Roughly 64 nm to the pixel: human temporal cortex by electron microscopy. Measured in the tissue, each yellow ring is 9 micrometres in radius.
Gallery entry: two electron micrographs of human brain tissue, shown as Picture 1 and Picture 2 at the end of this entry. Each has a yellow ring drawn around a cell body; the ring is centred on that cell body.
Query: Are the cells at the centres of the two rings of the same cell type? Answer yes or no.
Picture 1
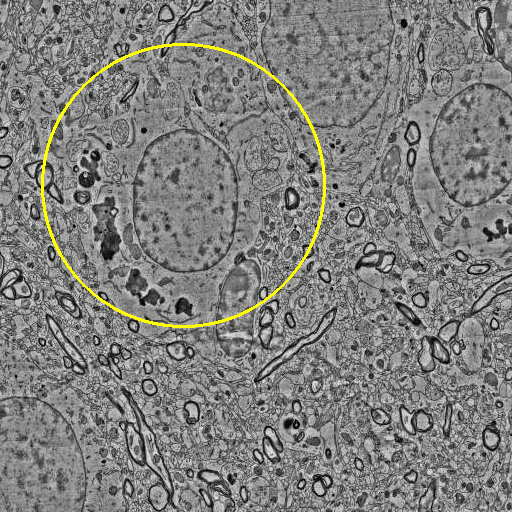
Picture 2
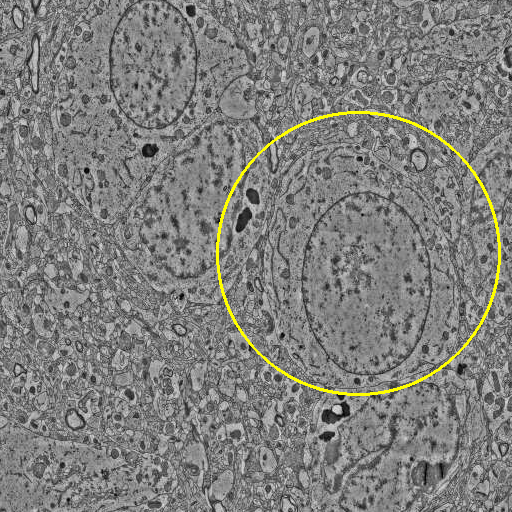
no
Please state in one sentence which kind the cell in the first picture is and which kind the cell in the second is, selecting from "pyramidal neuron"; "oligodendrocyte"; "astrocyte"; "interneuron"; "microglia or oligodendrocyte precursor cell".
The first ringed cell is an astrocyte, the second ringed cell a pyramidal neuron.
